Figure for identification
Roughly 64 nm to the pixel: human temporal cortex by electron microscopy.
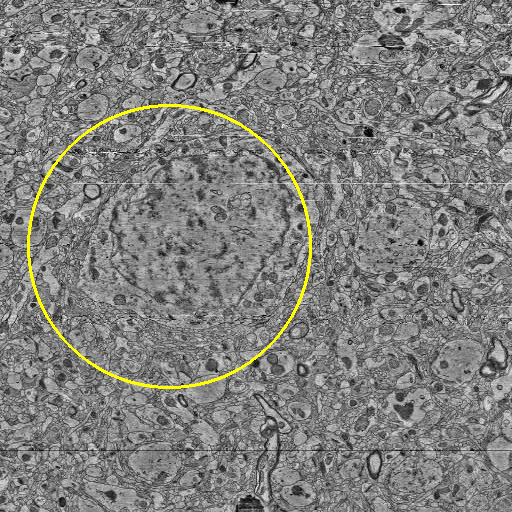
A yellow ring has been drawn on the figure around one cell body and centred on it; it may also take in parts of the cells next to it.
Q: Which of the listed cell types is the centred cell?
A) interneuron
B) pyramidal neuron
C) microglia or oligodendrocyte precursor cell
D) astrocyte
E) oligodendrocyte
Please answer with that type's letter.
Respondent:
A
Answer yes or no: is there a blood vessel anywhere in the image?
No, none appears.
